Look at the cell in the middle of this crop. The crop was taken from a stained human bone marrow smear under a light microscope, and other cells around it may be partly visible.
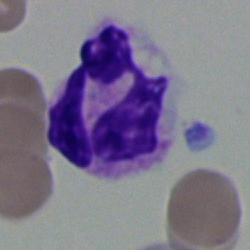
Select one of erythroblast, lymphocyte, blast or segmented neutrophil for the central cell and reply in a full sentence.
Seen at the centre of the crop is a segmented neutrophil.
